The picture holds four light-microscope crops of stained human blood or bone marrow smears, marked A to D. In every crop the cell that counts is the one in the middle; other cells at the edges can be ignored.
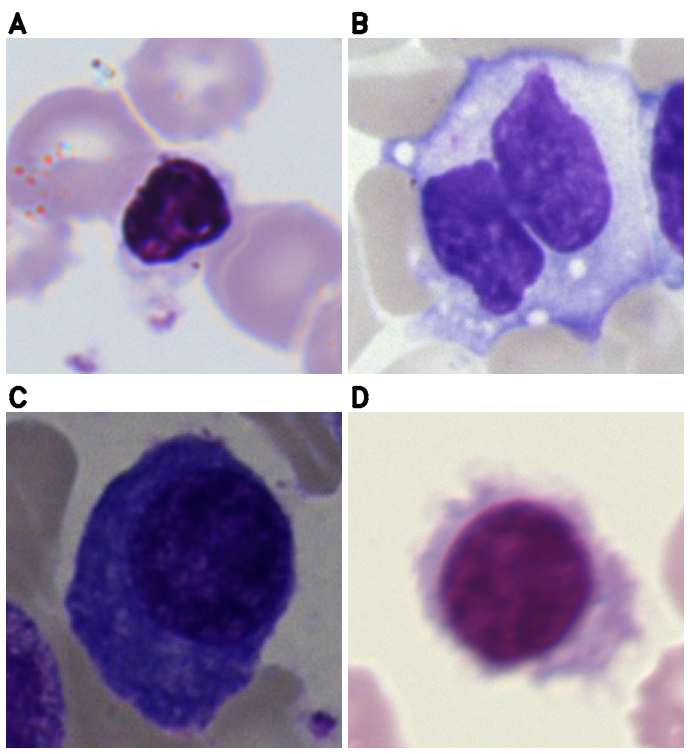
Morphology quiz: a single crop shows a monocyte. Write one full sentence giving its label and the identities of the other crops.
Crop B is a monocyte and, for the others, crop A is an erythroblast, crop C is a plasma cell and crop D is a hairy cell.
